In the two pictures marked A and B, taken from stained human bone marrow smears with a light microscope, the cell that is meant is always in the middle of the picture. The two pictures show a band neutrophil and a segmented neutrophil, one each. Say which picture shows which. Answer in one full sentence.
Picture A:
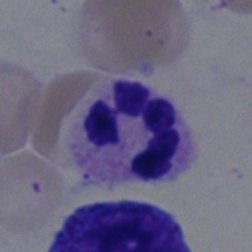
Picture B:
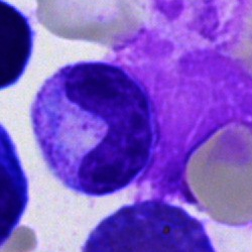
The cell in picture A is a segmented neutrophil, and the one in picture B is a band neutrophil.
